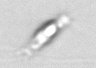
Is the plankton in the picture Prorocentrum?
No, it is Chrysochromulina parkeae.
